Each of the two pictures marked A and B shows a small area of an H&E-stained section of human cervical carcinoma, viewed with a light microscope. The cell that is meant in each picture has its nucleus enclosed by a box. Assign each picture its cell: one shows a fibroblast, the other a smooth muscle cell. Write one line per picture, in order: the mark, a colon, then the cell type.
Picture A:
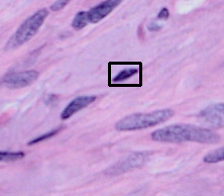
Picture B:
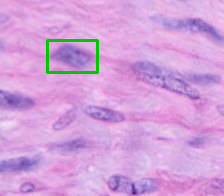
A: fibroblast
B: smooth muscle cell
